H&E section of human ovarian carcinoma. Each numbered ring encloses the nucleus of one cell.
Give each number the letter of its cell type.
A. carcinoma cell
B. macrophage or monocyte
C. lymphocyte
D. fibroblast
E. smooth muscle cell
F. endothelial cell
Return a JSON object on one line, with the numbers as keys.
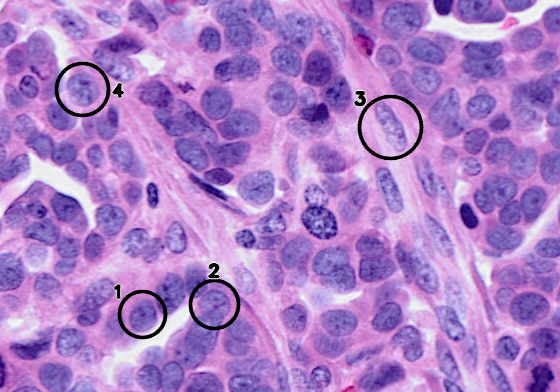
{"1": "A", "2": "A", "3": "D", "4": "A"}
